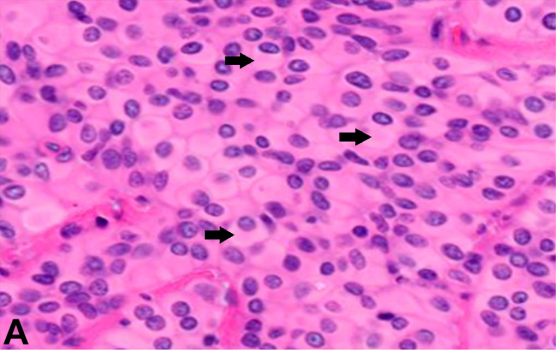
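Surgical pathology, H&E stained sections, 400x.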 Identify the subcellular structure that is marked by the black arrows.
Cytoplasmic hypereosinophilic inclusions.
